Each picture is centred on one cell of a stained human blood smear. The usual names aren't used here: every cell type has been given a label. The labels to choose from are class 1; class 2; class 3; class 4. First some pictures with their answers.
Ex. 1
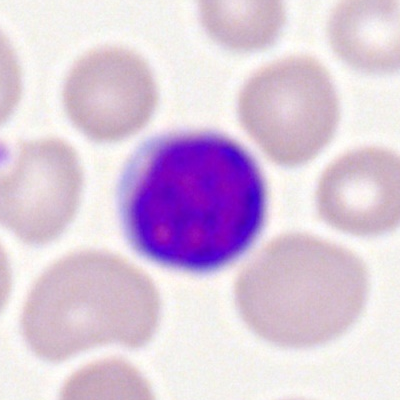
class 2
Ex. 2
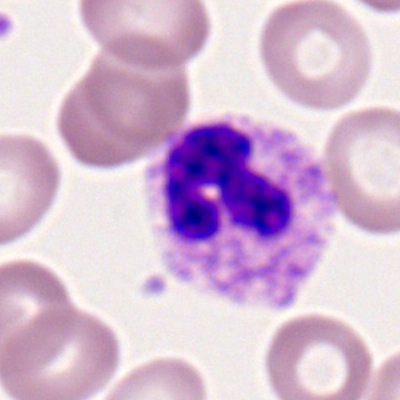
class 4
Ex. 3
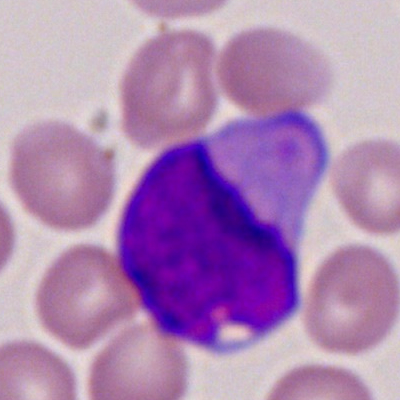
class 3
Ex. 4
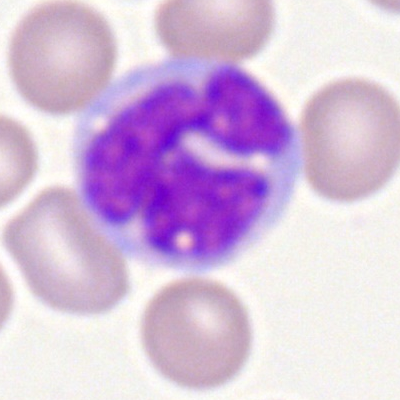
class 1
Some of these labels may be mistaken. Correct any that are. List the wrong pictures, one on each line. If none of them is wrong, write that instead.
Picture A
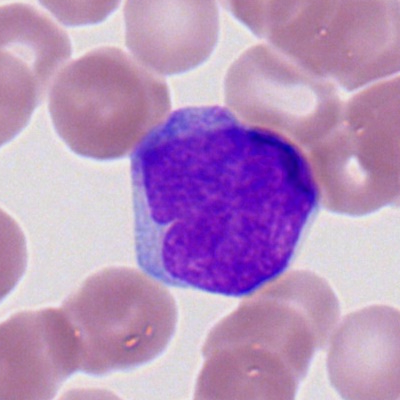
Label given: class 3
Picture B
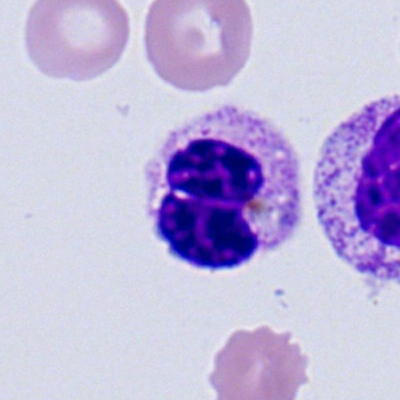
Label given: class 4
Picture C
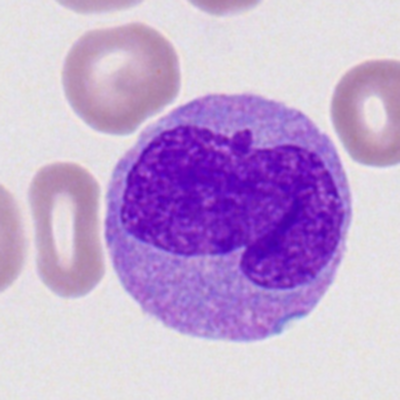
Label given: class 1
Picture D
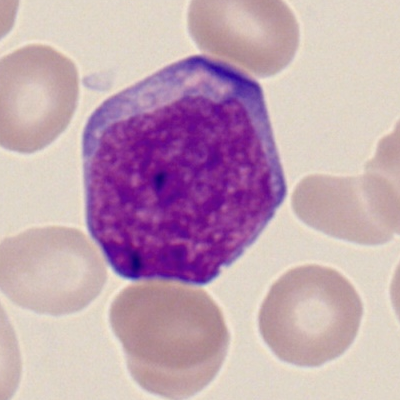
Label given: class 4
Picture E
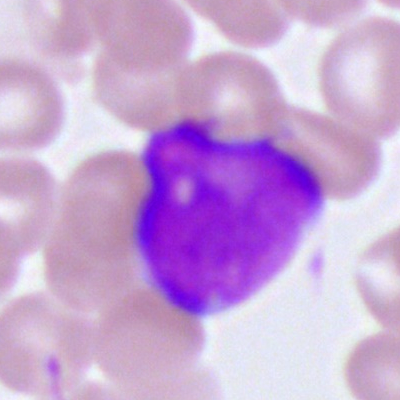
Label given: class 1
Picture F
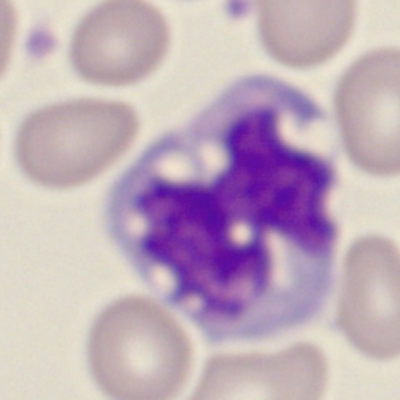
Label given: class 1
D: not class 4 but class 3
E: not class 1 but class 3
